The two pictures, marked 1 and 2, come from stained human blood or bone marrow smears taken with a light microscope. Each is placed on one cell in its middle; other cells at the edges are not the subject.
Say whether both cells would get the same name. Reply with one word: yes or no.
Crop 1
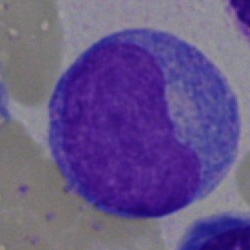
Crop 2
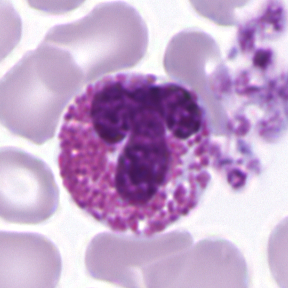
no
